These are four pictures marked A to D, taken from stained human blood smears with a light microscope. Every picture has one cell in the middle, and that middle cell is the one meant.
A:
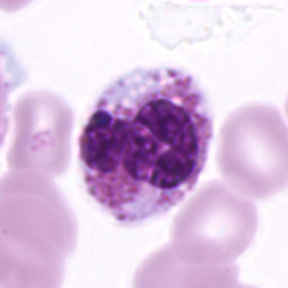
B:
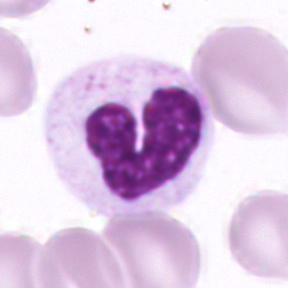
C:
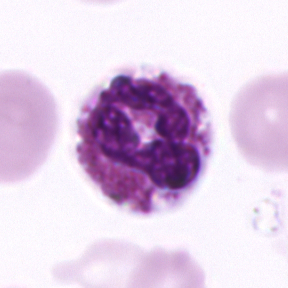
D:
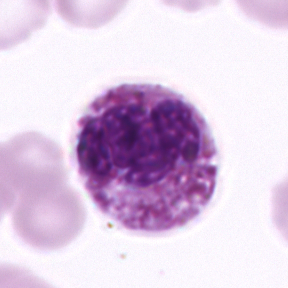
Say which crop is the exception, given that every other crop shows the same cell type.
B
